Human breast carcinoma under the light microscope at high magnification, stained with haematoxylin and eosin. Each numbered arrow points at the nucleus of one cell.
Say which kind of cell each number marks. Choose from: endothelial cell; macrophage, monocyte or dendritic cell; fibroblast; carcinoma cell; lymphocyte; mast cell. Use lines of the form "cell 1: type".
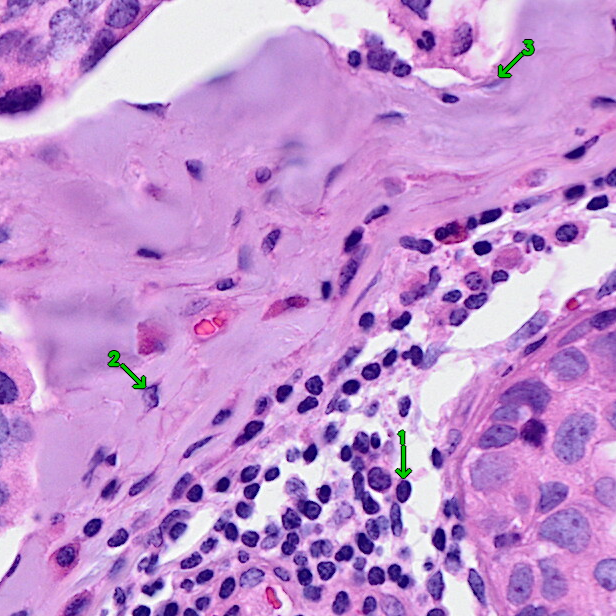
cell 1: lymphocyte
cell 2: fibroblast
cell 3: fibroblast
